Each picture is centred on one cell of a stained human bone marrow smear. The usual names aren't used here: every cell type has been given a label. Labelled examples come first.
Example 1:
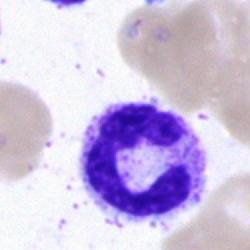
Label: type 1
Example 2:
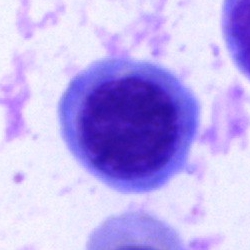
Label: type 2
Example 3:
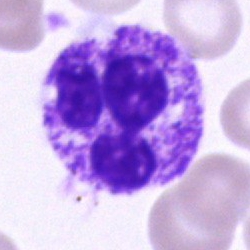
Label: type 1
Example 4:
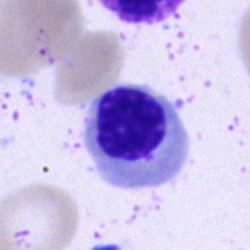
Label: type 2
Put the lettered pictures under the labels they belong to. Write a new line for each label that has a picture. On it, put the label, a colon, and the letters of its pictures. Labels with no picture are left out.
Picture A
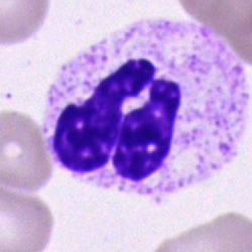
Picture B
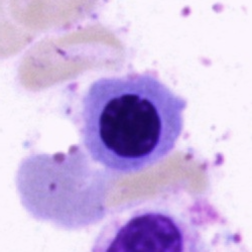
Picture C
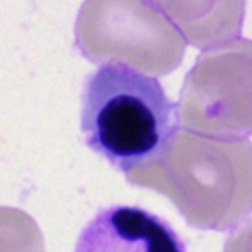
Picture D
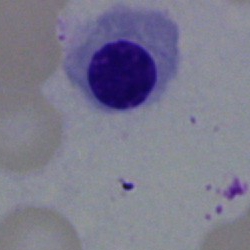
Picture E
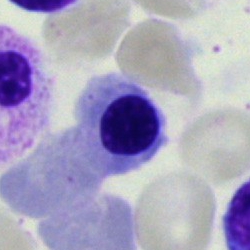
type 1: A
type 2: B, C, D, E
